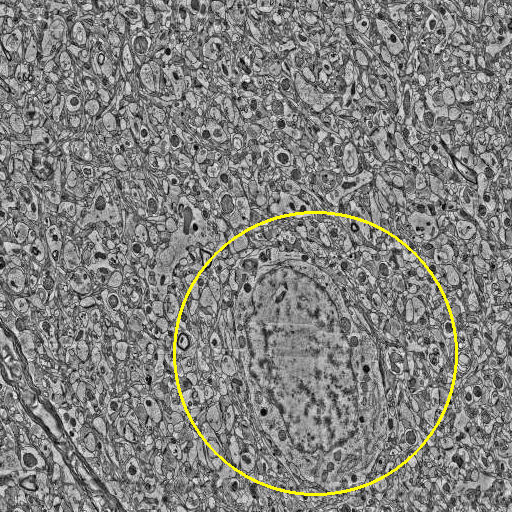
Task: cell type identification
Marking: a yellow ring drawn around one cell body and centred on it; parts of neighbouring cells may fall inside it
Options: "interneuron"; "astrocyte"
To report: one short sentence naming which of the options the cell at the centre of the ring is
The cell at the centre of the ring is an interneuron.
